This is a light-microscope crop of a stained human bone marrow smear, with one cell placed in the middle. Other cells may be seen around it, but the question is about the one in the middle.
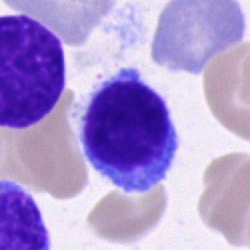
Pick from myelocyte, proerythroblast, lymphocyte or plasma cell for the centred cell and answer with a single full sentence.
The crop centres on a single cell, and that cell is a lymphocyte.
